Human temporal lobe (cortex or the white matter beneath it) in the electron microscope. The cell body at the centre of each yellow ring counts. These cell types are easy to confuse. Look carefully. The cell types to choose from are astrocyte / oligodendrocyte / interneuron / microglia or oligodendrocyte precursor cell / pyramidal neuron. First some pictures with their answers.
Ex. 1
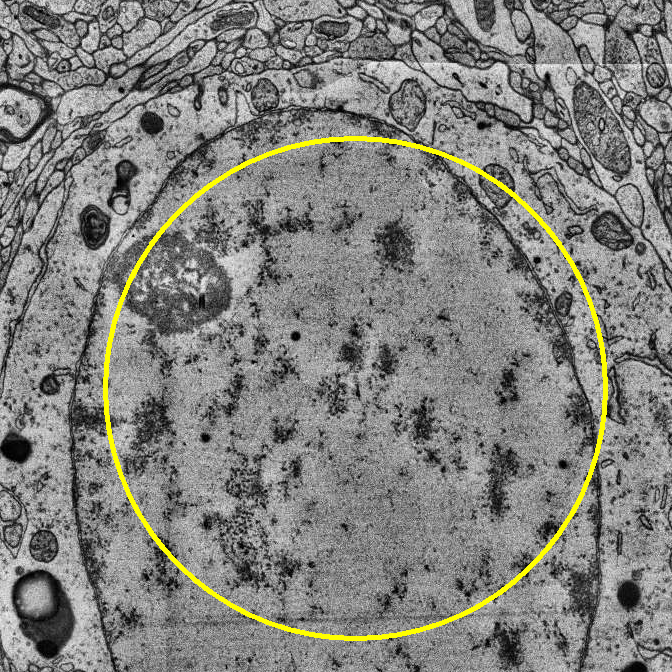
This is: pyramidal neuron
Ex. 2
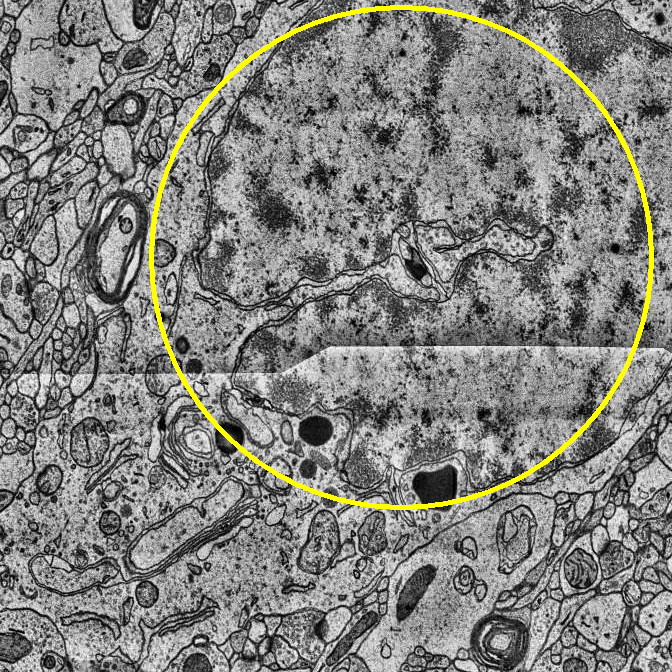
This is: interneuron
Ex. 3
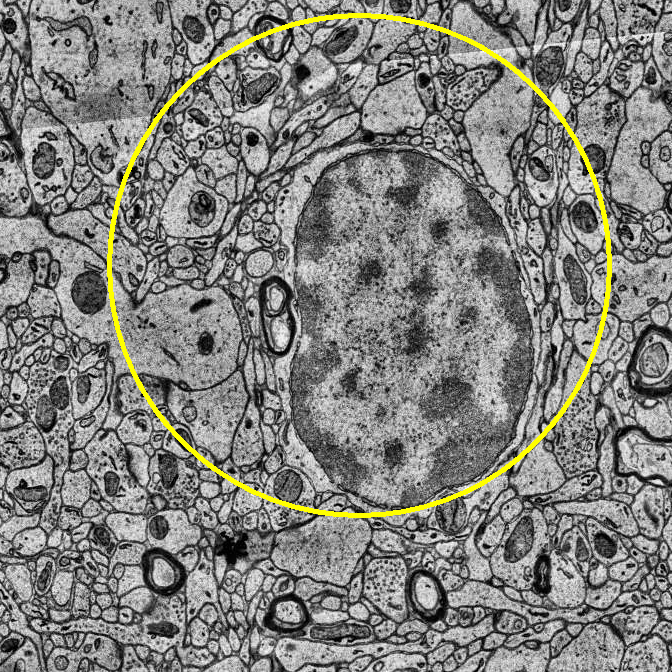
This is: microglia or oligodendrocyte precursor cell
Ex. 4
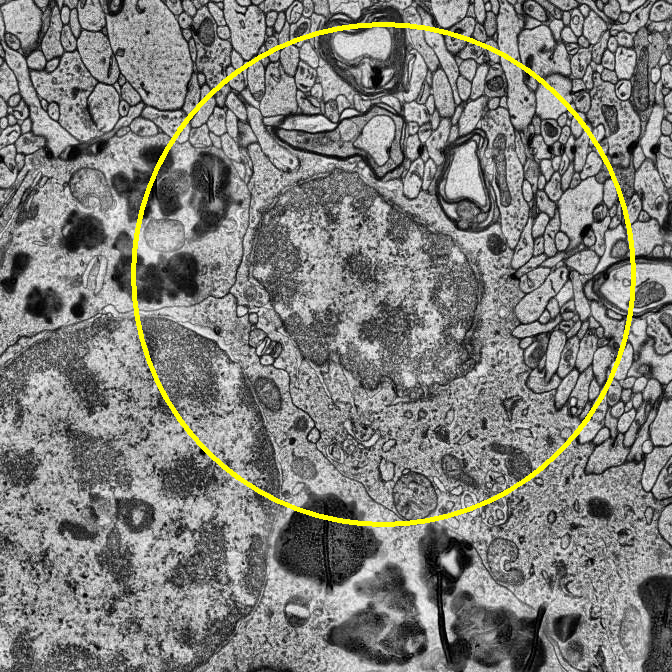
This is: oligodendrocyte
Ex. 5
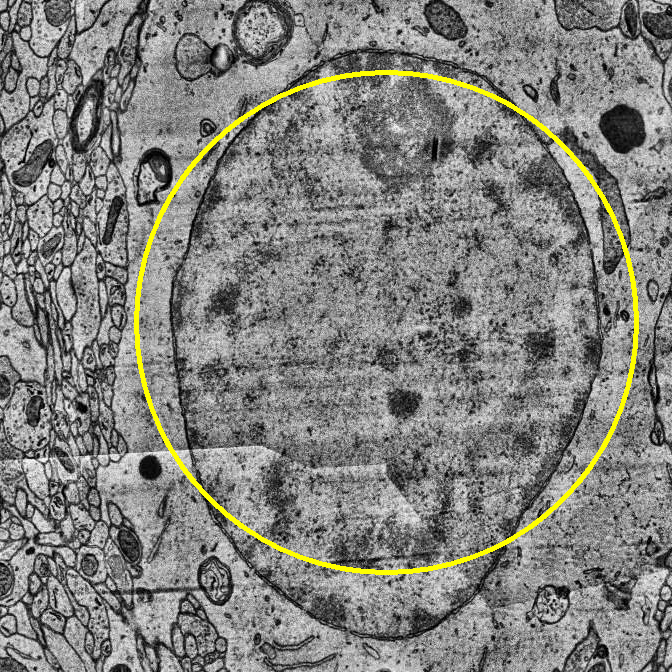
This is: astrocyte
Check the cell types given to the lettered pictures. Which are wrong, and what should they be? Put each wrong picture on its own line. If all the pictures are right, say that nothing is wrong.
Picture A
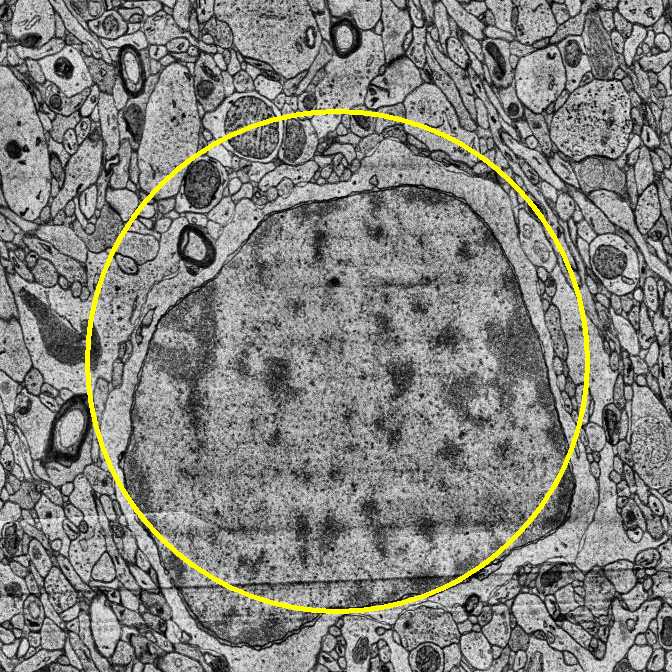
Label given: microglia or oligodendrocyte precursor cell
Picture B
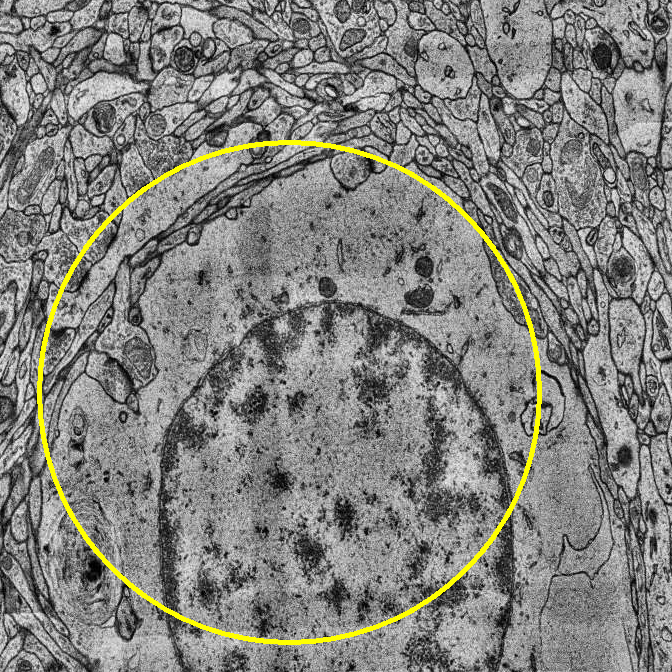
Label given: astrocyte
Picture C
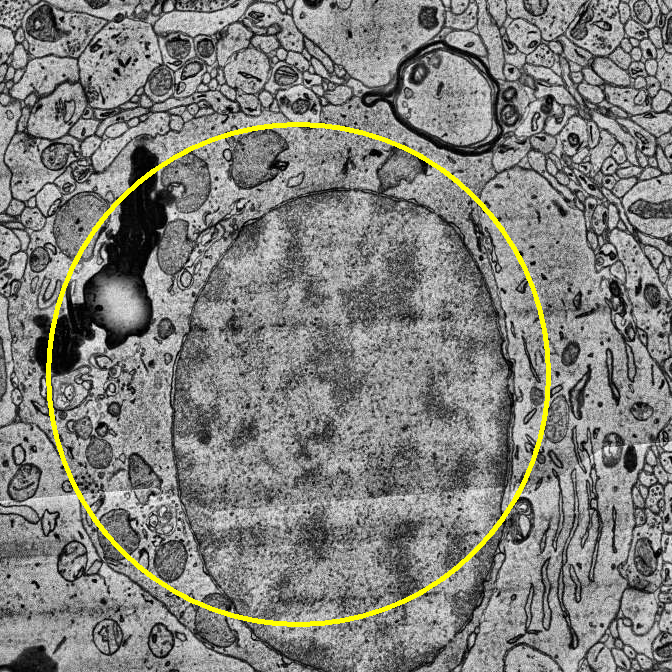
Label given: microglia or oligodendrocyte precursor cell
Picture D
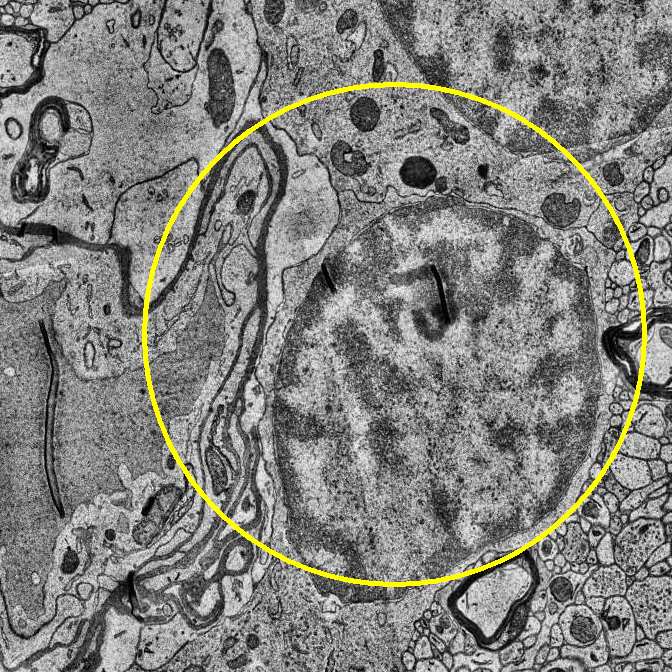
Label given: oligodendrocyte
C: not microglia or oligodendrocyte precursor cell but oligodendrocyte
